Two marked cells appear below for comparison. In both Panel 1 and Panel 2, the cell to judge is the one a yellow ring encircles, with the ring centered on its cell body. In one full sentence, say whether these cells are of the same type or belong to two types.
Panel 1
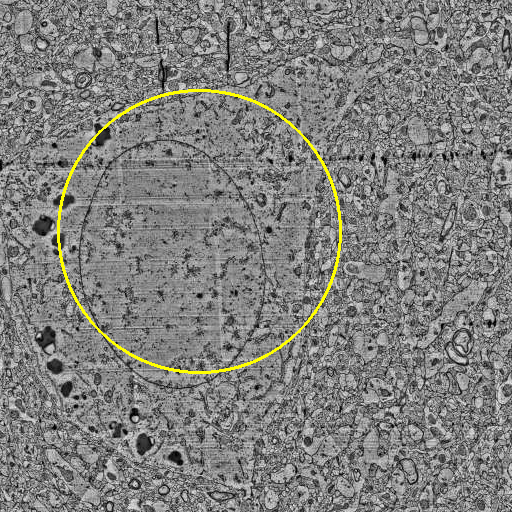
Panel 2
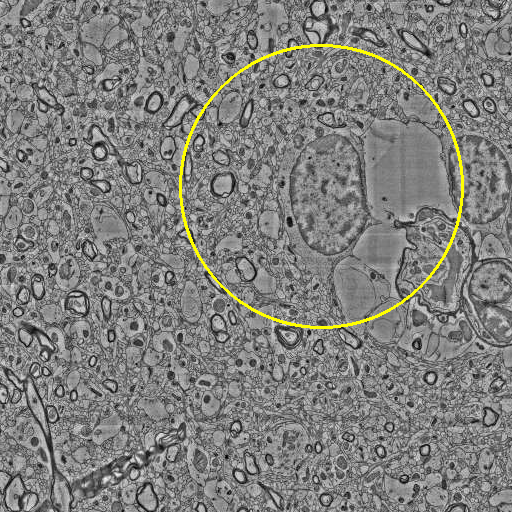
The cell centered in the Panel 1 ring and the one in Panel 2 belong to two types.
